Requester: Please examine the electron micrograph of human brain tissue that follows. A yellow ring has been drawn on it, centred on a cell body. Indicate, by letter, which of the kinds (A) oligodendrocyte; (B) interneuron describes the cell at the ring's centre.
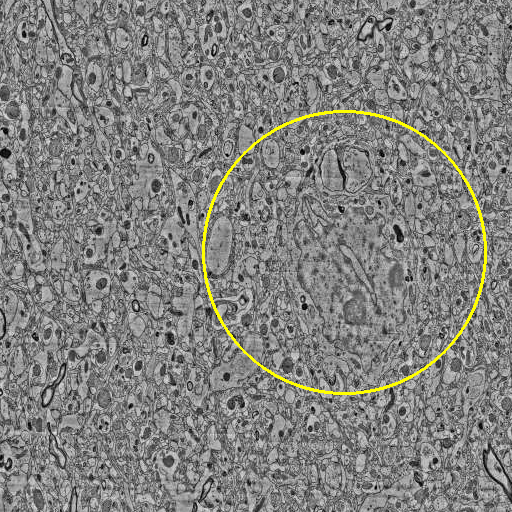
B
